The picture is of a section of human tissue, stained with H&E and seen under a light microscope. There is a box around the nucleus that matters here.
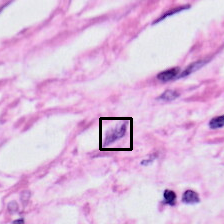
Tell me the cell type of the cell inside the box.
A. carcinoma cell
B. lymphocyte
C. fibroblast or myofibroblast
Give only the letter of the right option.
C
